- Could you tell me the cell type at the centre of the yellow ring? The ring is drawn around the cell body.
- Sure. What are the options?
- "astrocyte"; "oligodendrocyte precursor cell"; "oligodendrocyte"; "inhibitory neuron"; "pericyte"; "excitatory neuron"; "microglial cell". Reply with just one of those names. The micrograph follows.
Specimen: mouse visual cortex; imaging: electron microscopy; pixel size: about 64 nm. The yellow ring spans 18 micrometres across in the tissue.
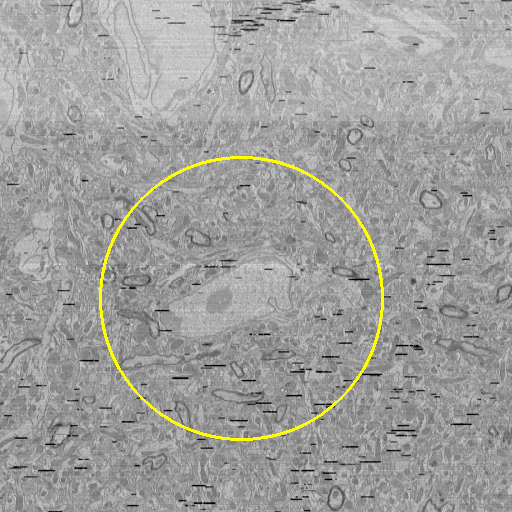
oligodendrocyte precursor cell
